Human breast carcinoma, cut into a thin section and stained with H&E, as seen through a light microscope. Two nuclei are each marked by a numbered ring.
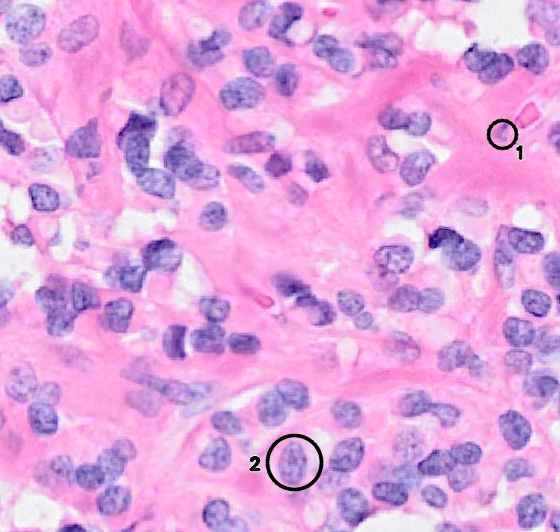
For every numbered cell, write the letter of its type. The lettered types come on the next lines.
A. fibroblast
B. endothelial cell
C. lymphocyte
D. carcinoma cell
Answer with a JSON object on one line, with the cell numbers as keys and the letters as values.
{"1": "B", "2": "D"}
